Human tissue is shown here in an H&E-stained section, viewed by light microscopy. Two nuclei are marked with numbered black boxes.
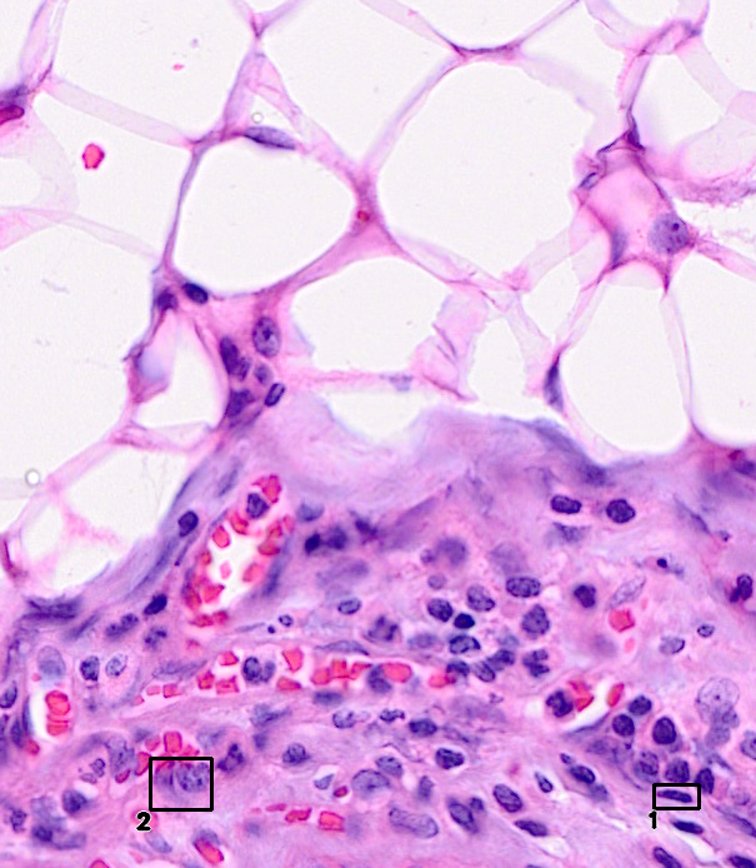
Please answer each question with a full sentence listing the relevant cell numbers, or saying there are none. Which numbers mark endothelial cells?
Where the numbered cells are concerned, only number 2 is an endothelial cell.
